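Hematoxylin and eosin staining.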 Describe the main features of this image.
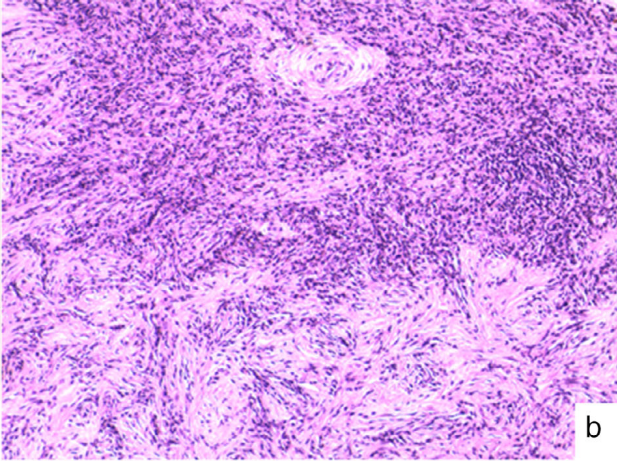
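Countless small, round, dark purple nuclei of inflammatory cells crowd the tissue, lying most densely in the upper right part of the field. Between them run pink strands of fibrous tissue with elongated spindle-shaped nuclei. These strands curve and swirl into whorled bundles that cross one another in a cartwheel-like, storiform pattern. A small concentric pink whorl of fibrous tissue stands out near the top of the field.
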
